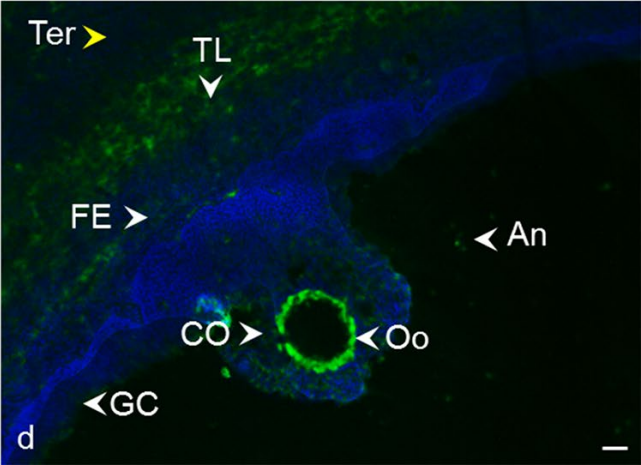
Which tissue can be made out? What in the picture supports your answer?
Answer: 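A large empty cavity is bordered by a thick layer of densely packed cells. A mound of cells projects into the cavity and holds a large round cell with a green ring. On this evidence: ovarian tissue.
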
